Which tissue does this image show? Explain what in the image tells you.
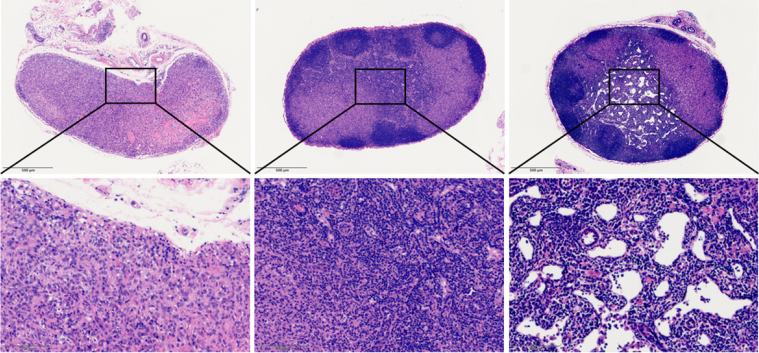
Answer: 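Dark purple rounded nodules lie near the outer rim of the middle and right sections. So: lymph nodes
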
